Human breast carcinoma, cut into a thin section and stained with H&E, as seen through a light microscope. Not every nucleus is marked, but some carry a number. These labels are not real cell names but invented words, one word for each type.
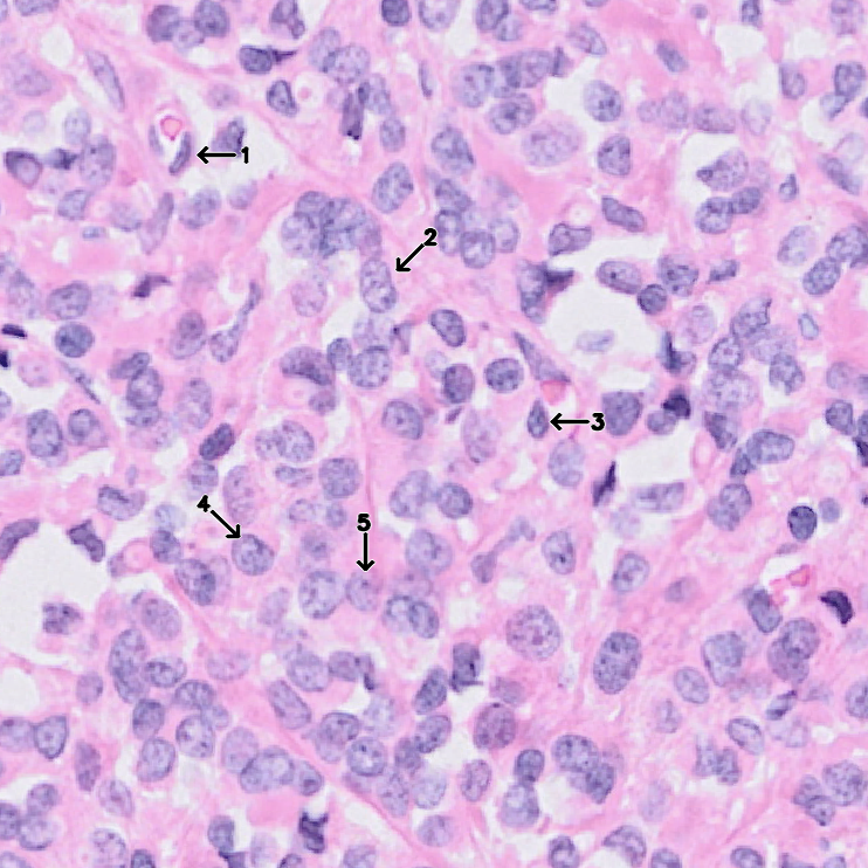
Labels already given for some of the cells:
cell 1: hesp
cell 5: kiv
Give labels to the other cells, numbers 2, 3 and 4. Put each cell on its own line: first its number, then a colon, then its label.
2: kiv
3: hesp
4: kiv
